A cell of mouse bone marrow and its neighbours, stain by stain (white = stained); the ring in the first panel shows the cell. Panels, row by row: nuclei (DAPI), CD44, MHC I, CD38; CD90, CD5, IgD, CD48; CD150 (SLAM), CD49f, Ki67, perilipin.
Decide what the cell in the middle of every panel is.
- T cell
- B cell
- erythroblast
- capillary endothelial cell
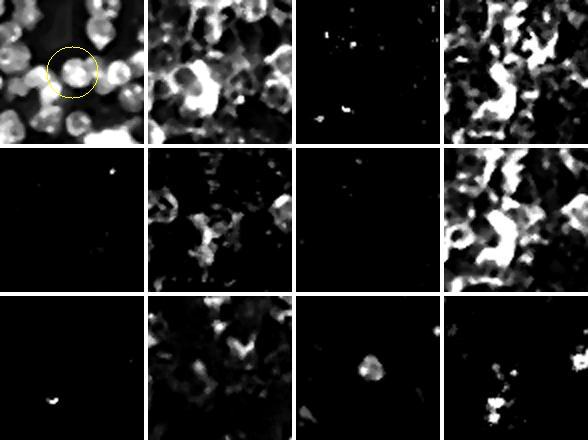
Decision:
erythroblast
